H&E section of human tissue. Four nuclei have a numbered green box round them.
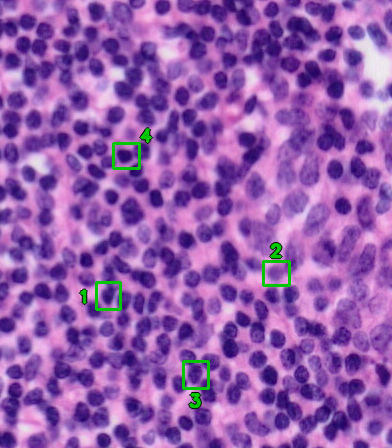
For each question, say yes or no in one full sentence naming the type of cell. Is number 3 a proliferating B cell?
No, cell 3 does not represent a proliferating B cell; it represents a small lymphocyte.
